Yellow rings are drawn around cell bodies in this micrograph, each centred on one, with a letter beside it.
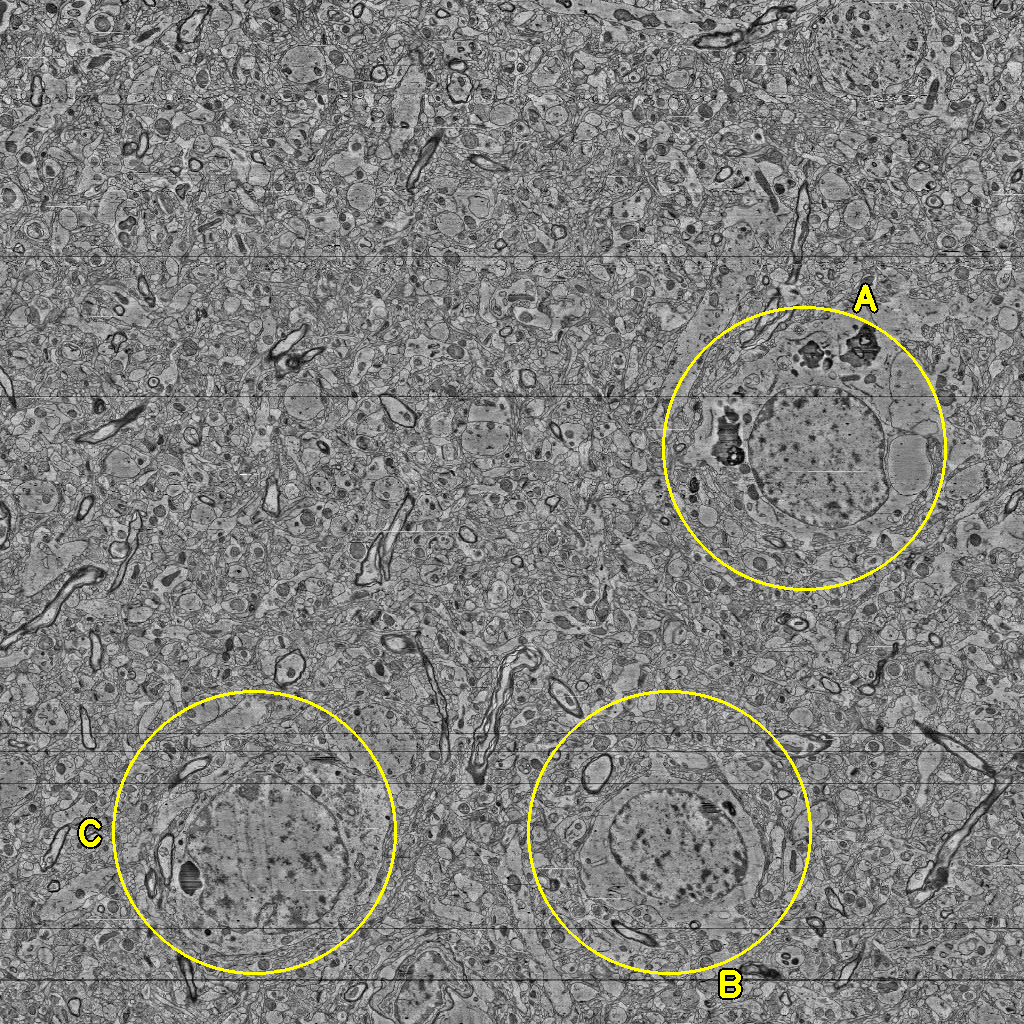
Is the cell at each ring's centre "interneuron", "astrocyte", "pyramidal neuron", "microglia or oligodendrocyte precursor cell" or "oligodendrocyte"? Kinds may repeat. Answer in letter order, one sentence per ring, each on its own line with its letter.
In ring A, the cell at the centre is an astrocyte.
In ring B, the cell at the centre is an astrocyte.
In ring C, the cell at the centre is an interneuron.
